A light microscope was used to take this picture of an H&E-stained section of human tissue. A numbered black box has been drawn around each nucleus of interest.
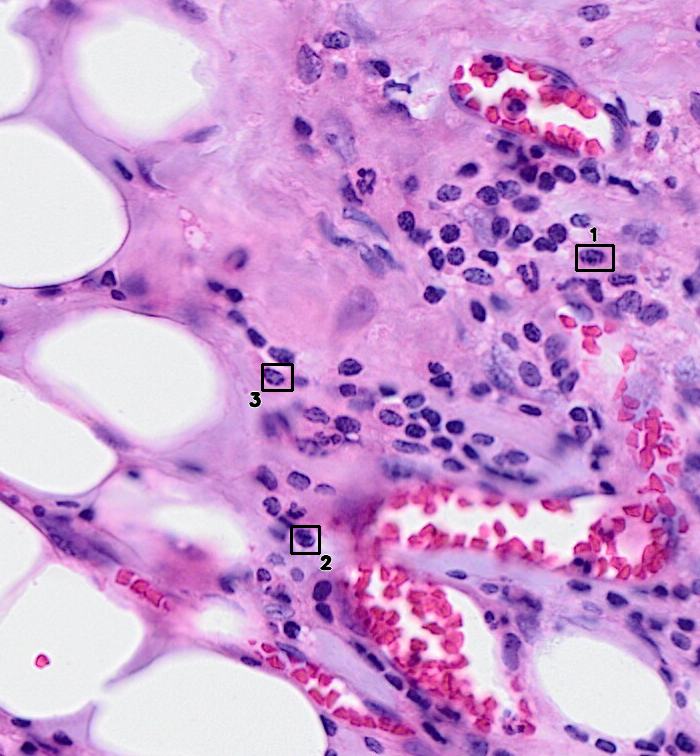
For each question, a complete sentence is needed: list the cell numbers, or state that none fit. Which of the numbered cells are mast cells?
The cells numbered 1 and 3 fall into the category of mast cells.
